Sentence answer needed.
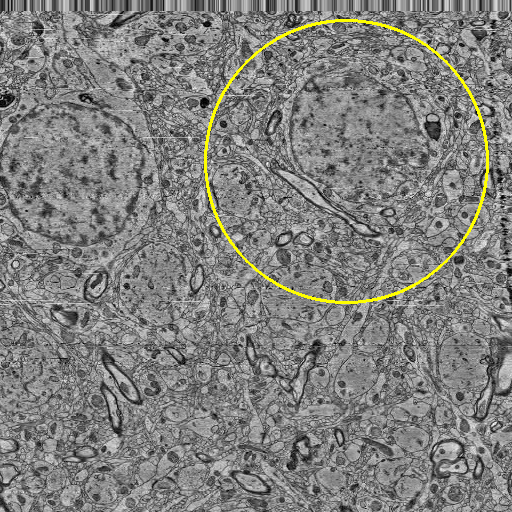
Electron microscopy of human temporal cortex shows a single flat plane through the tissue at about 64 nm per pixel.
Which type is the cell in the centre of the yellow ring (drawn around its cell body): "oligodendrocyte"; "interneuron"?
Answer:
In the centre of the yellow ring is an interneuron.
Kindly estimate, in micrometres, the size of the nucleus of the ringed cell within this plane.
The nucleus appears roughly 10 by 8 micrometres in this plane.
